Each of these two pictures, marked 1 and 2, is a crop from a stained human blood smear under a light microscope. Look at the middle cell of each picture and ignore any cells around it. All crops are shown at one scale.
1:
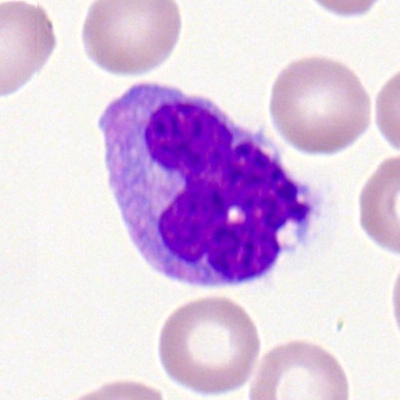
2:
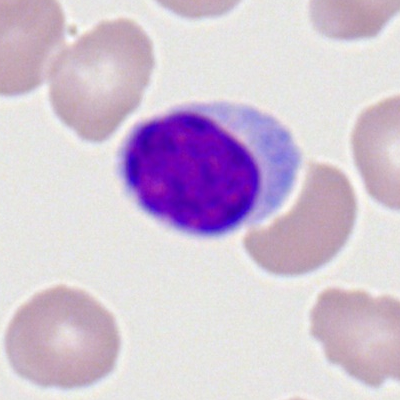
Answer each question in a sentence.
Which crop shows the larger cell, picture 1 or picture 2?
Larger is the cell in picture 1, at roughly 1.5 times the area of the other.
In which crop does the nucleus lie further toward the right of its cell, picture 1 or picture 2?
In picture 1 the nucleus is shifted more toward the right.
